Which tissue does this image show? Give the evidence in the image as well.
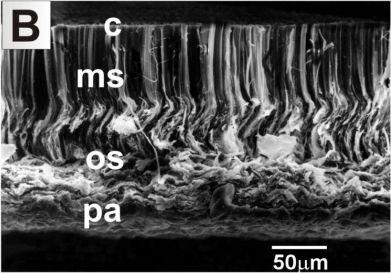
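Seed coat. Several stacked layers run parallel across the panel. A thin smooth outer surface layer sits on top. A thick layer of long, parallel, palisade-like cells lies beneath it.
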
